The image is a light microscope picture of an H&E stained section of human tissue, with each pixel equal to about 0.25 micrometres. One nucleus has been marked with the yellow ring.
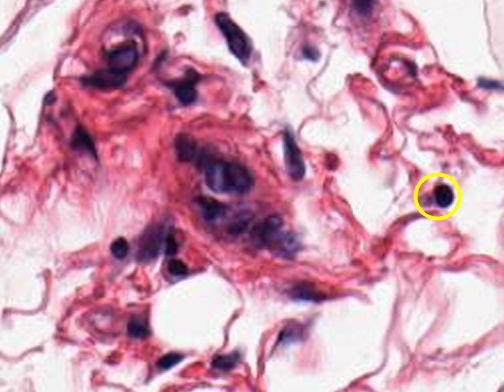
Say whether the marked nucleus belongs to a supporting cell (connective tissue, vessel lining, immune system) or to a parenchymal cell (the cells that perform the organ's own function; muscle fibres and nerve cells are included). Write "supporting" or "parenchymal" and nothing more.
supporting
